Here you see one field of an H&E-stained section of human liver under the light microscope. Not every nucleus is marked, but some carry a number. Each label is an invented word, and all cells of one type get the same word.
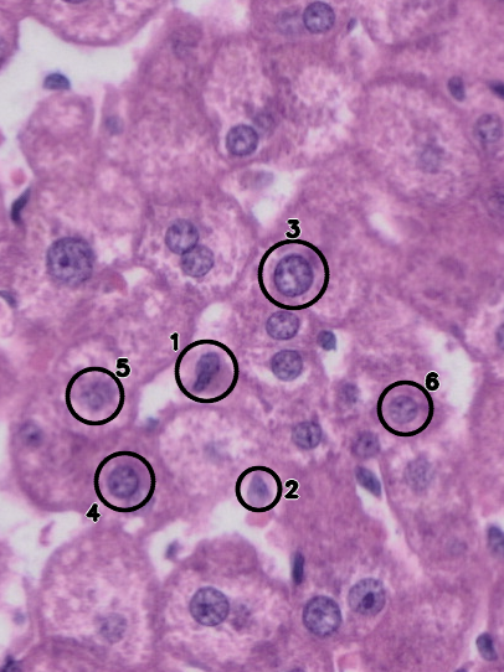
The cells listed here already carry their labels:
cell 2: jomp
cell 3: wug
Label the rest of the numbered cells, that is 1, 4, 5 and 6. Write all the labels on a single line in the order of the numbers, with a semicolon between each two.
jomp; wug; wug; wug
